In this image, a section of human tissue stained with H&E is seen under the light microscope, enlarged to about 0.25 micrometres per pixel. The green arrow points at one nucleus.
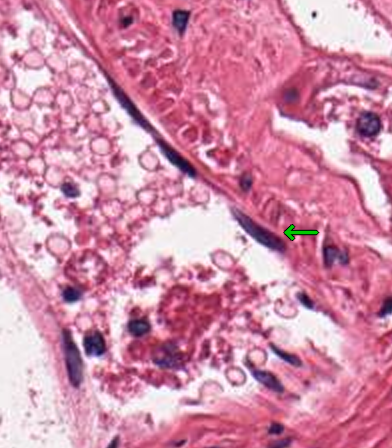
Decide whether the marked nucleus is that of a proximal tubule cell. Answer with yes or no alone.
no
